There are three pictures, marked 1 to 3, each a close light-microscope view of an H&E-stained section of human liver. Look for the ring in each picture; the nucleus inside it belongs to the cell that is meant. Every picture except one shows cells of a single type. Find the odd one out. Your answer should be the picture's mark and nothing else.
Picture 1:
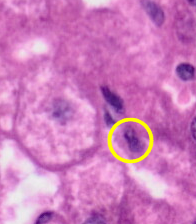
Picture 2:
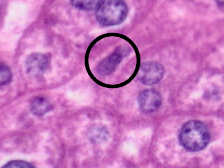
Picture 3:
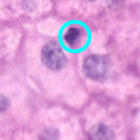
3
